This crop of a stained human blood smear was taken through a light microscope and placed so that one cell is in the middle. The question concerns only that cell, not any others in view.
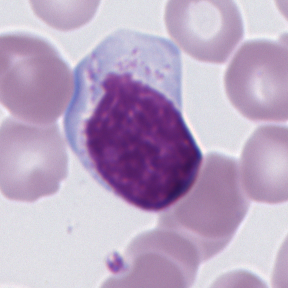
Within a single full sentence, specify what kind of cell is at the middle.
The cell centered in this field of view is a large granular lymphocyte.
